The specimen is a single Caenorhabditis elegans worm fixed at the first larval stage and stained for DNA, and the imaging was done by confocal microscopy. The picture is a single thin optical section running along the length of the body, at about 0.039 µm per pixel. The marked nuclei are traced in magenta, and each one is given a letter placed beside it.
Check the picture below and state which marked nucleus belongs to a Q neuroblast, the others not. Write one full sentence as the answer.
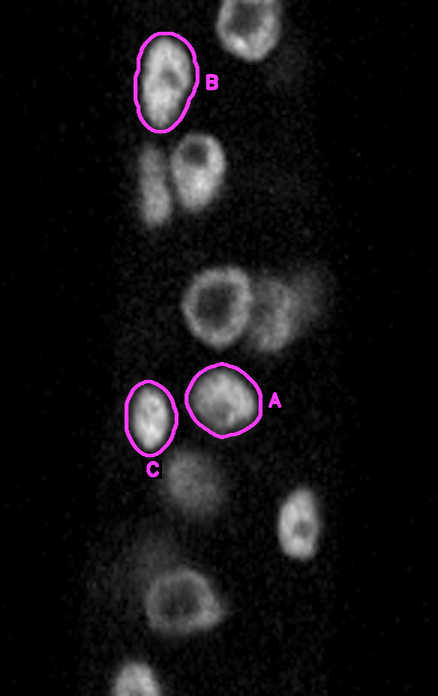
A is from a Q neuroblast.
